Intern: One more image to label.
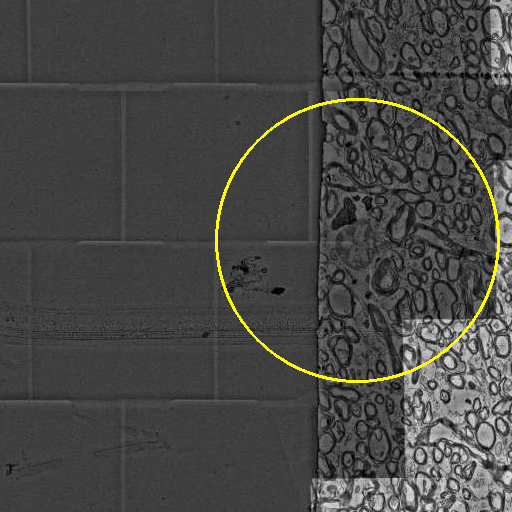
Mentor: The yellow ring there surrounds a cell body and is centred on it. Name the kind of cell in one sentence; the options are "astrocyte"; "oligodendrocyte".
The ring marks the cell body of an oligodendrocyte.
